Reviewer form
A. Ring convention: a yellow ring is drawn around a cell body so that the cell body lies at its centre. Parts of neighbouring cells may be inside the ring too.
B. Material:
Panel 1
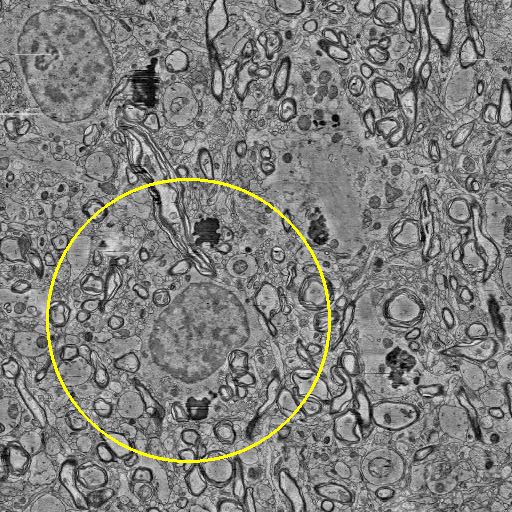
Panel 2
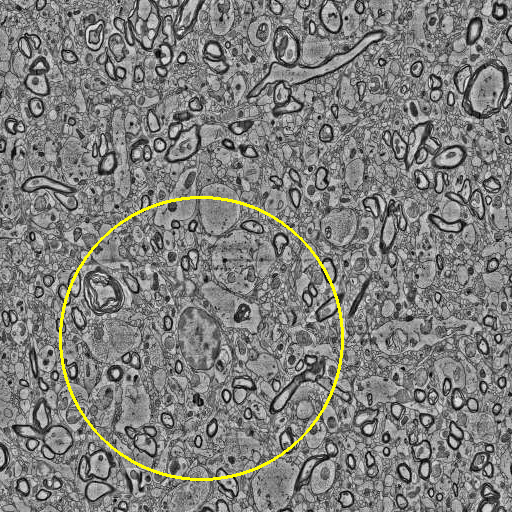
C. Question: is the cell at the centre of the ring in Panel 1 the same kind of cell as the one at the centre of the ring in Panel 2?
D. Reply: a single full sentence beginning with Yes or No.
No, the cells in Panel 1 and Panel 2 are two kinds of cell.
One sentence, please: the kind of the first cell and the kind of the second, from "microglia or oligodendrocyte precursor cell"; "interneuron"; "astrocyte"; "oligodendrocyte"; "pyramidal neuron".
The ring in the first picture surrounds an oligodendrocyte, and the ring in the second surrounds a microglial cell or oligodendrocyte precursor cell.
